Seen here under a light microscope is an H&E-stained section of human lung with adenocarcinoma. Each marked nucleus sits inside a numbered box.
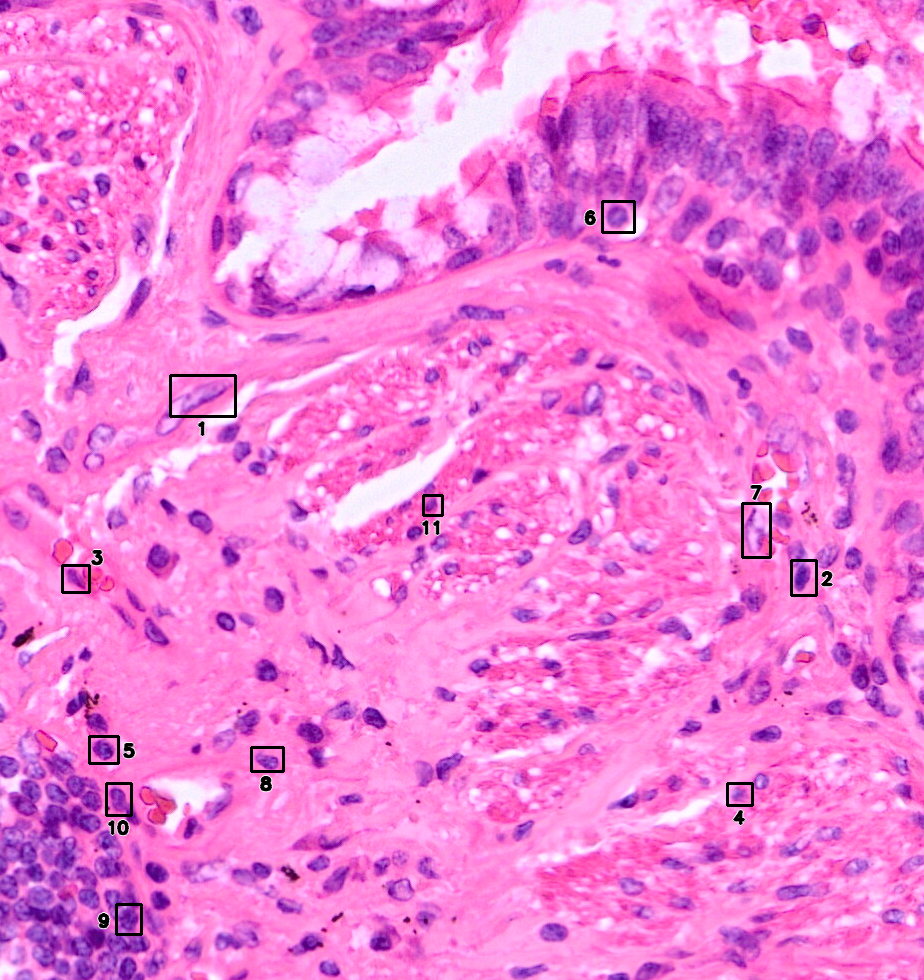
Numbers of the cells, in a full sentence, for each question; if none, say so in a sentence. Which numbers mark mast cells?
The cells marked with the numbers 6 and 8 are mast cells.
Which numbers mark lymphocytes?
Cells 2, 5, 9 and 10 are lymphocytes by cell type.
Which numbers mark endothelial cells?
Cells 1, 3 and 7 are endothelial cells by cell type.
